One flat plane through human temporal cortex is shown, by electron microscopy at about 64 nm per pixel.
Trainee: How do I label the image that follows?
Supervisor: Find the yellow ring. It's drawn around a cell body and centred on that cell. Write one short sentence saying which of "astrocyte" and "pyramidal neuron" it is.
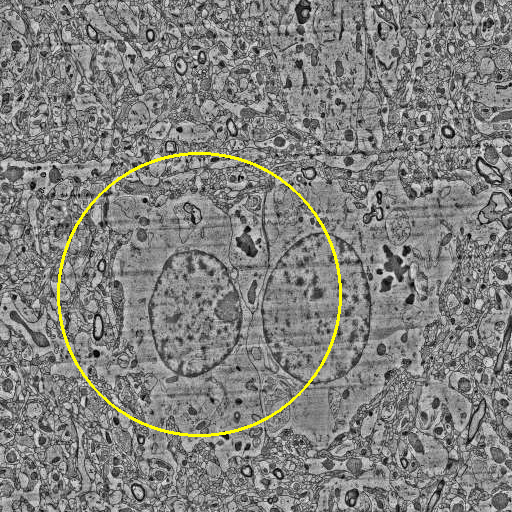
This is the cell body of an astrocyte.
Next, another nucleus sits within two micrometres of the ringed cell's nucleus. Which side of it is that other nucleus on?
The other one lies to the right of it.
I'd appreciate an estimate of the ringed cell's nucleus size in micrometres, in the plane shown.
Roughly 8 by 6 micrometres is the size of the nucleus in this plane.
